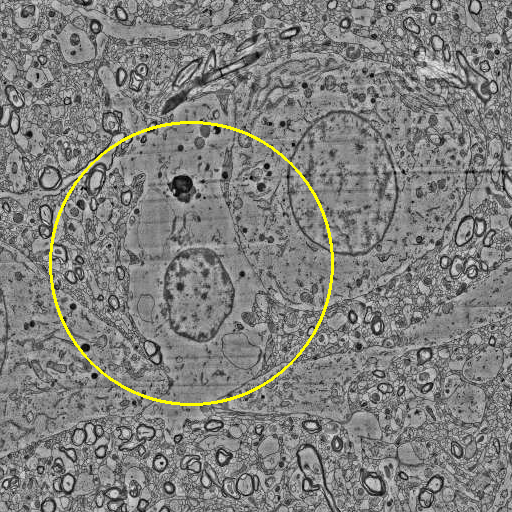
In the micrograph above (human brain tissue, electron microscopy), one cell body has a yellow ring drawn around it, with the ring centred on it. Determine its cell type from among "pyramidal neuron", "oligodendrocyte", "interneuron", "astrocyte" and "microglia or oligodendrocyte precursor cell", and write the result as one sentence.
The cell whose body is ringed is an astrocyte.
